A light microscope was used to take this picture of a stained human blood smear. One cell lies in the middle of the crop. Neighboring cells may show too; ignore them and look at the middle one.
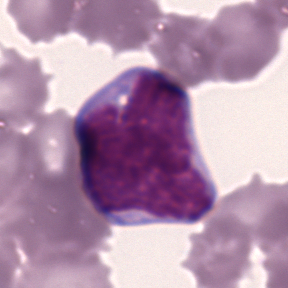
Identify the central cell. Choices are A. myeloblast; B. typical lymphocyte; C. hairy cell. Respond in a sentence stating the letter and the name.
Identification: the cell in the middle is a myeloblast, matching option A.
